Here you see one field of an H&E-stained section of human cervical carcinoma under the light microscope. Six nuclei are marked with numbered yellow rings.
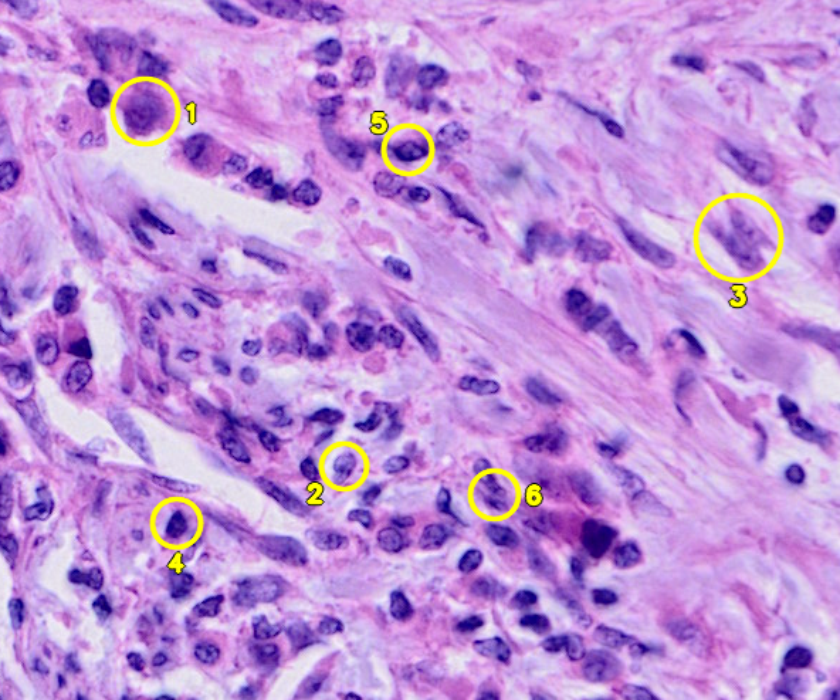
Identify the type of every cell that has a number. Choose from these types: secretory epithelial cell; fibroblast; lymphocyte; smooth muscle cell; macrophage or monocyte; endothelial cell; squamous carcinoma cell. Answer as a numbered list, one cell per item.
1. macrophage or monocyte
2. lymphocyte
3. fibroblast
4. lymphocyte
5. lymphocyte
6. lymphocyte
